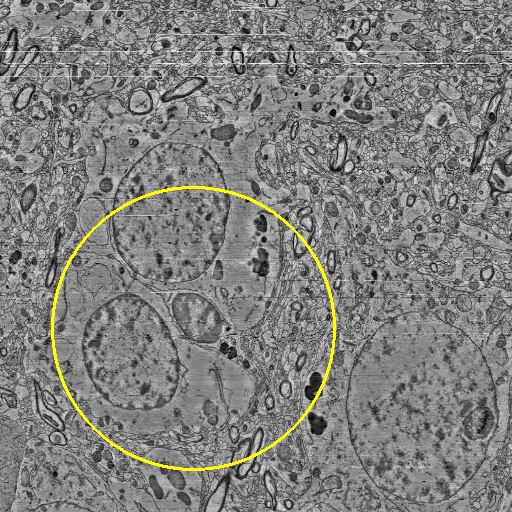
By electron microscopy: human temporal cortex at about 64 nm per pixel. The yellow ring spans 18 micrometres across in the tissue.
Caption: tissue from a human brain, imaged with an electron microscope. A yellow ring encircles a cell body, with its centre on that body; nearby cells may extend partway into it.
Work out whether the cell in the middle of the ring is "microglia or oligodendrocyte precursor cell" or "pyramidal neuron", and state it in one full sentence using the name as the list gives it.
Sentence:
In the picture, the cell that the yellow ring surrounds at its centre is a microglial cell or oligodendrocyte precursor cell.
